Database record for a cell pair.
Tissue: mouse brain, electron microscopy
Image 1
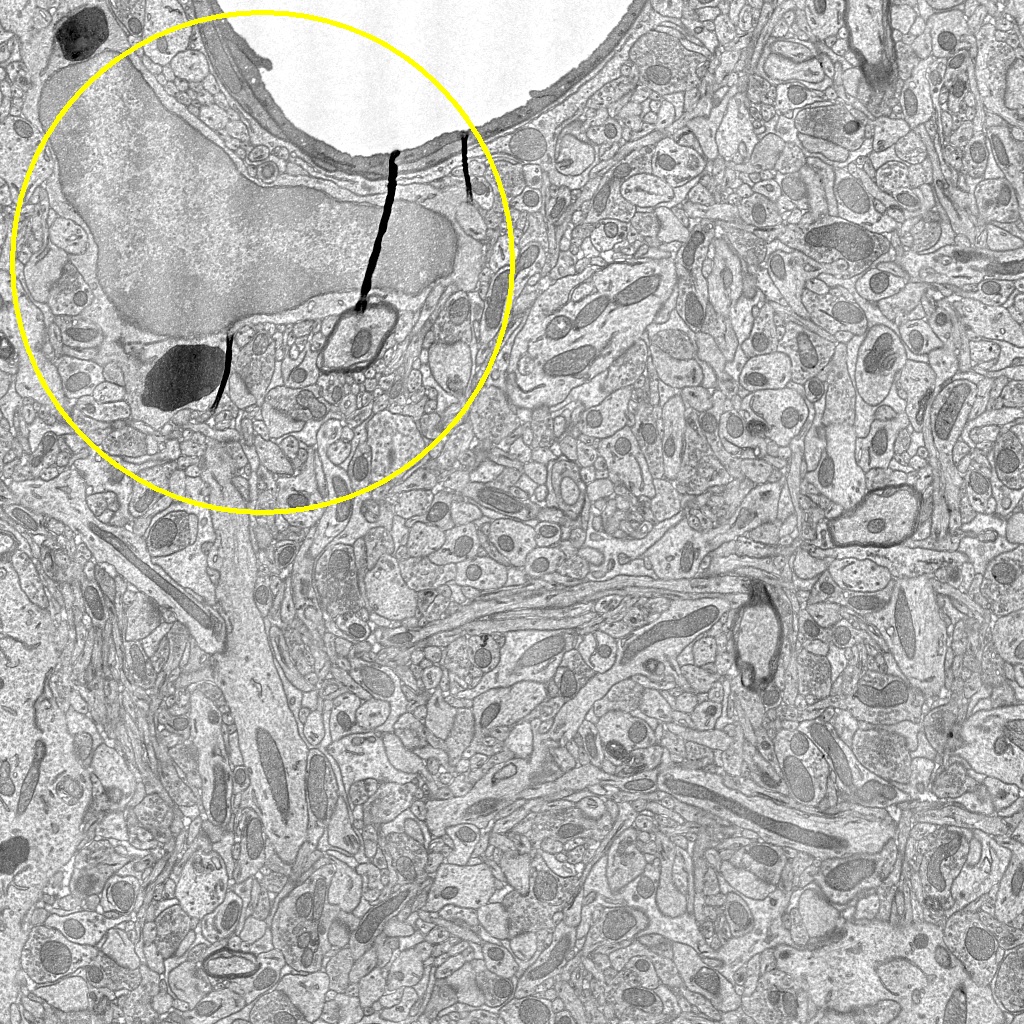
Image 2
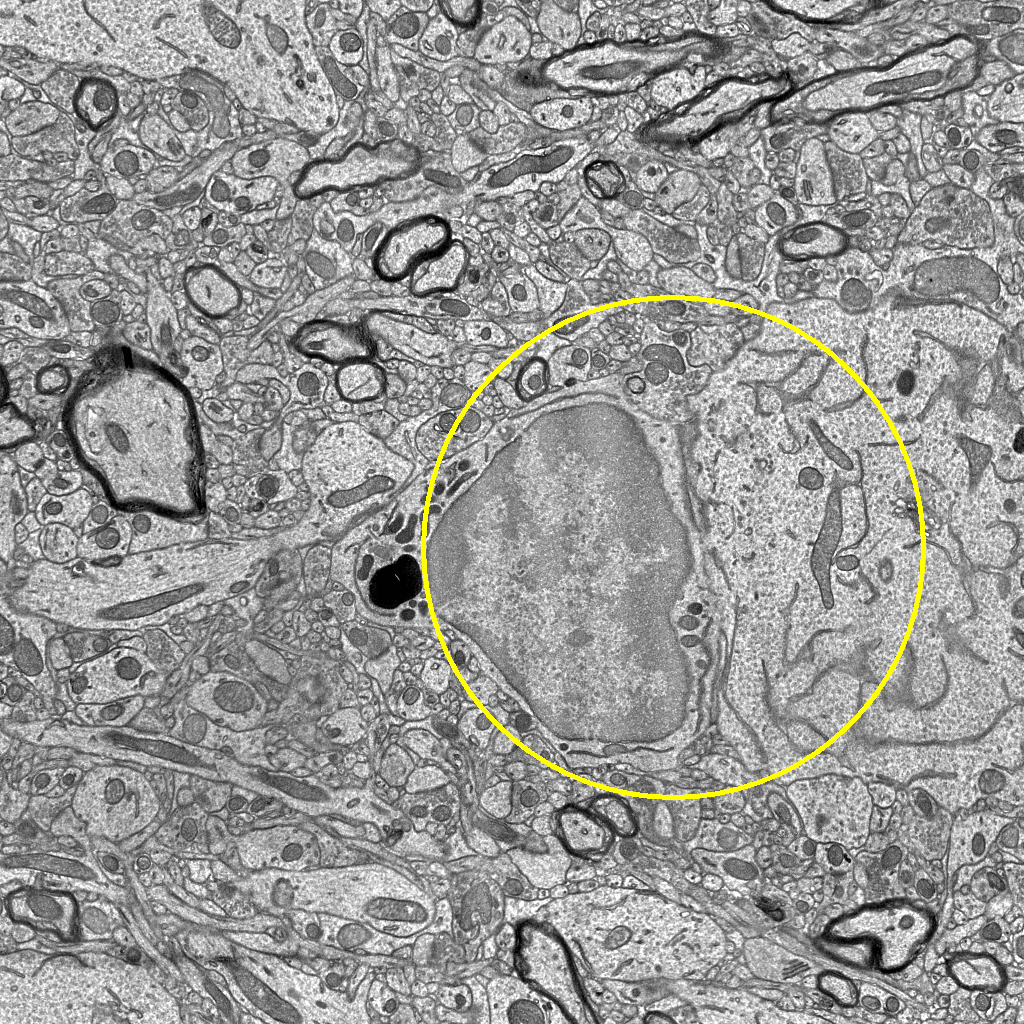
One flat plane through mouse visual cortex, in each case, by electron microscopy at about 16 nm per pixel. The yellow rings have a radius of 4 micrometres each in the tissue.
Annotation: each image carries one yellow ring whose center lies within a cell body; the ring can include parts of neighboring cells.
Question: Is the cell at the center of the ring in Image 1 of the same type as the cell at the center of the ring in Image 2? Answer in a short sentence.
Yes, the cells are of the same type.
